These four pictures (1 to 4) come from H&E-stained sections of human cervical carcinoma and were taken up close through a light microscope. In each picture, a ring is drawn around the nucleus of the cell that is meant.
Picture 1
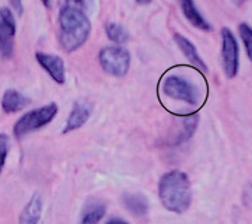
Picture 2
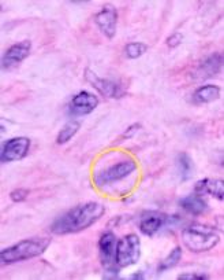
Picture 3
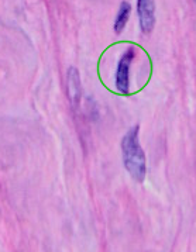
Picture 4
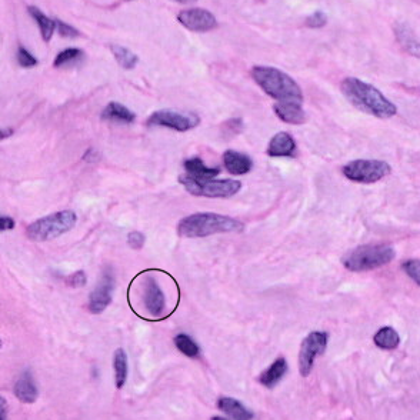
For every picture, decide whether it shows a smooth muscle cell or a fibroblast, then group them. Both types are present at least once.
1: fibroblast
2: smooth muscle cell
3: fibroblast
4: fibroblast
